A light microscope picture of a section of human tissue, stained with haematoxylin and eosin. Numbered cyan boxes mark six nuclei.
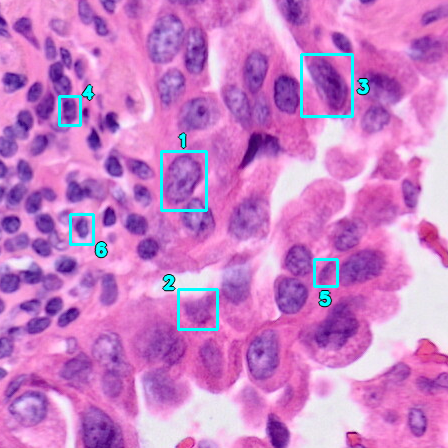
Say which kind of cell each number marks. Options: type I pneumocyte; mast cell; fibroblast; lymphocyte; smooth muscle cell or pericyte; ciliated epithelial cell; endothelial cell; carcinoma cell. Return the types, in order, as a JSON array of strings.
["carcinoma cell", "carcinoma cell", "carcinoma cell", "lymphocyte", "carcinoma cell", "lymphocyte"]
